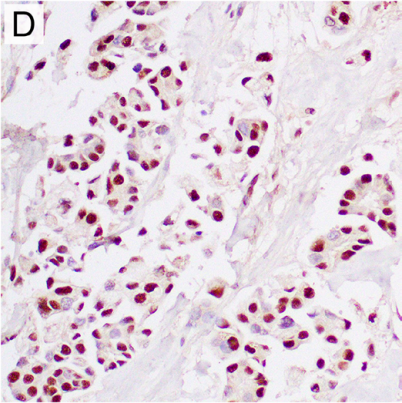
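Tumour cells lie singly and in small clusters and cords scattered through a pale, loosely fibrous stroma. Their round to oval nuclei are large and vary in size, and many stain a strong reddish-brown, while others appear blue-purple. The cytoplasm around these nuclei is pale and largely unstained, so the stain marks the nuclei rather than the cell bodies.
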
